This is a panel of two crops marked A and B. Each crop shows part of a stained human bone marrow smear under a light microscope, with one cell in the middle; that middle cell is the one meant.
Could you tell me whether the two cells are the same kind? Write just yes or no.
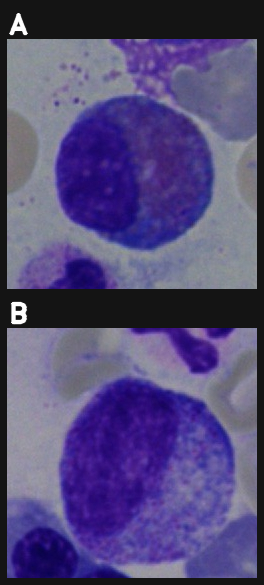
no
